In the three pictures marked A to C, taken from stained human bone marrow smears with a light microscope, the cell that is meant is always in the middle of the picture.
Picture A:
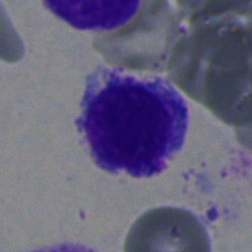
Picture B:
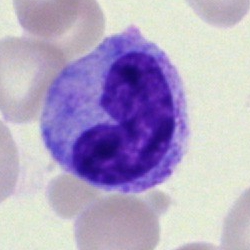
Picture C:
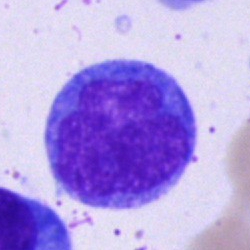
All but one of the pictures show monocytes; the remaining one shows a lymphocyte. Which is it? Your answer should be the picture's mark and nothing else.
A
